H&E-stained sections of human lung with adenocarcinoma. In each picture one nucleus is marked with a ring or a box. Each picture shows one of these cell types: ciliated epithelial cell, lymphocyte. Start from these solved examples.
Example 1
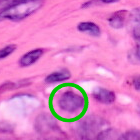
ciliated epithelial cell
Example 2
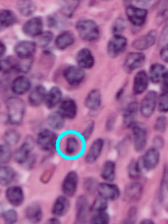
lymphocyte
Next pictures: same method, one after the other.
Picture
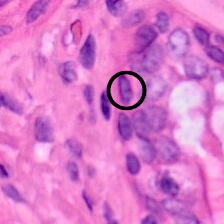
ciliated epithelial cell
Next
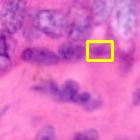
ciliated epithelial cell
